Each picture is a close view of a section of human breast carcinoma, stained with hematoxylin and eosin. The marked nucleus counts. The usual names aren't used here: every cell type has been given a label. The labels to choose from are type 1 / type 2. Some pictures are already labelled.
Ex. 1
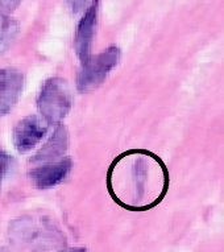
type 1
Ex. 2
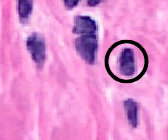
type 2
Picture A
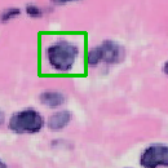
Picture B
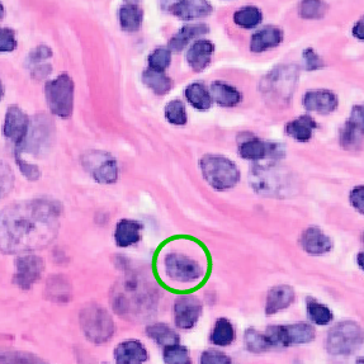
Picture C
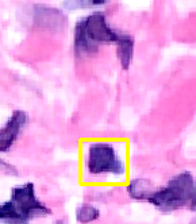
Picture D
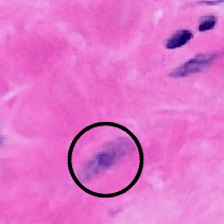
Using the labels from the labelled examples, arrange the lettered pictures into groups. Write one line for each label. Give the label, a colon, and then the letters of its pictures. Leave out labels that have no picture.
type 1: D
type 2: A, B, C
